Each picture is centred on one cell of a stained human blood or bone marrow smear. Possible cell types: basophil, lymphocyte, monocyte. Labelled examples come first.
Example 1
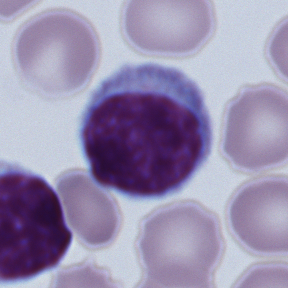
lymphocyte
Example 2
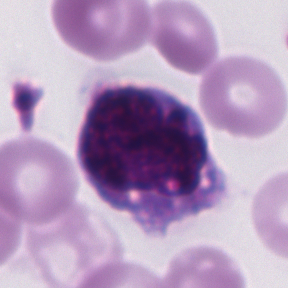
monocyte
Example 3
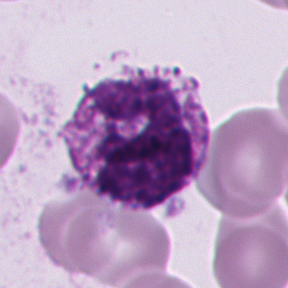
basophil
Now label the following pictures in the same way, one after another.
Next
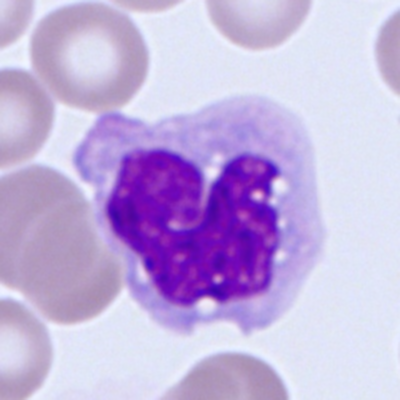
monocyte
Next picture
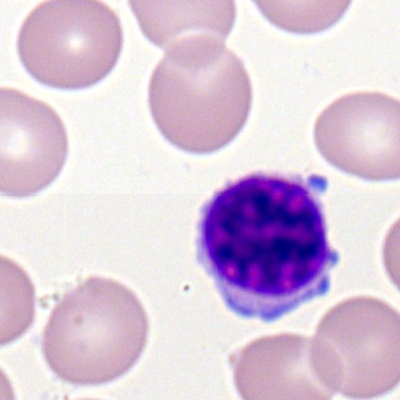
lymphocyte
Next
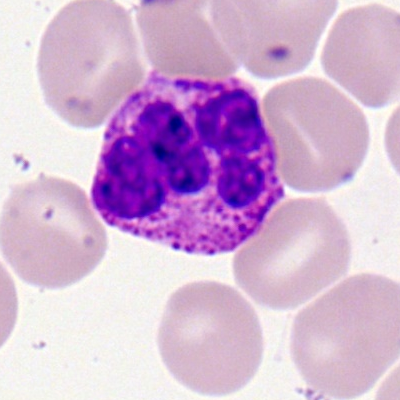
basophil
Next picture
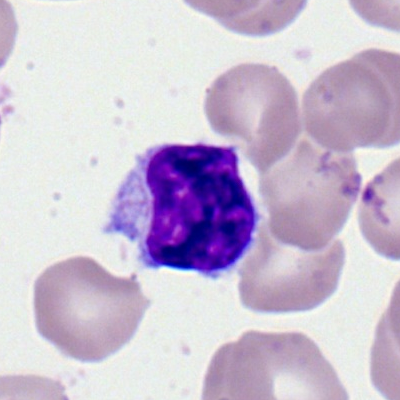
lymphocyte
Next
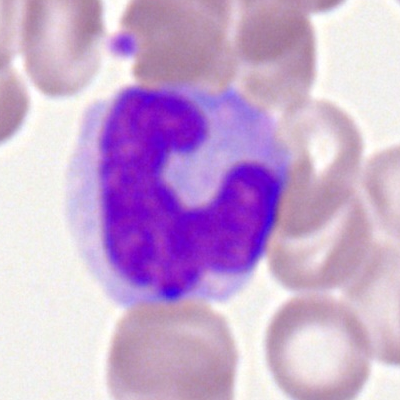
monocyte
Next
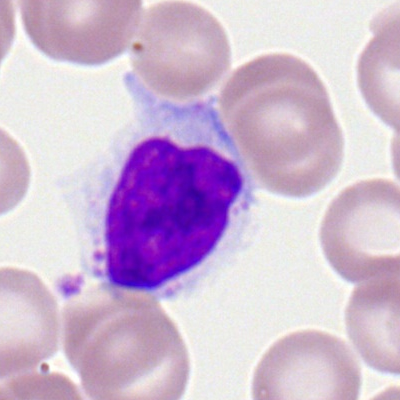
lymphocyte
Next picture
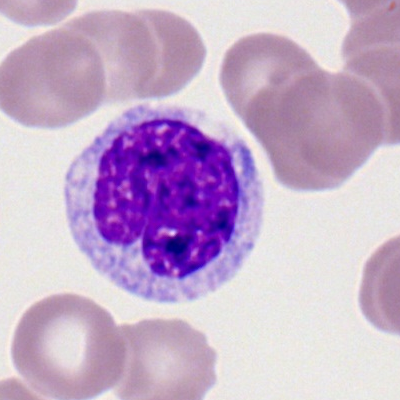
monocyte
